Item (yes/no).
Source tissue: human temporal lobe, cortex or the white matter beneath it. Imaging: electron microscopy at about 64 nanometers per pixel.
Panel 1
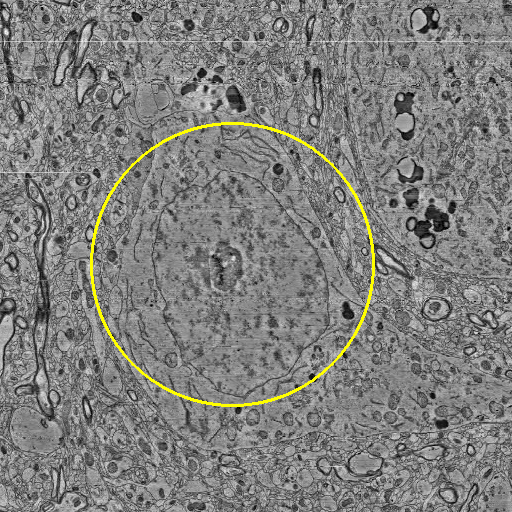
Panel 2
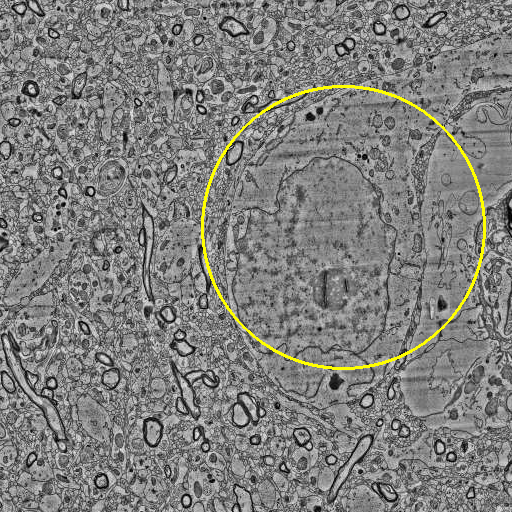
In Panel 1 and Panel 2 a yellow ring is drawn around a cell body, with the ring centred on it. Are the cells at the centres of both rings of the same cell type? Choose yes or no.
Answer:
yes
